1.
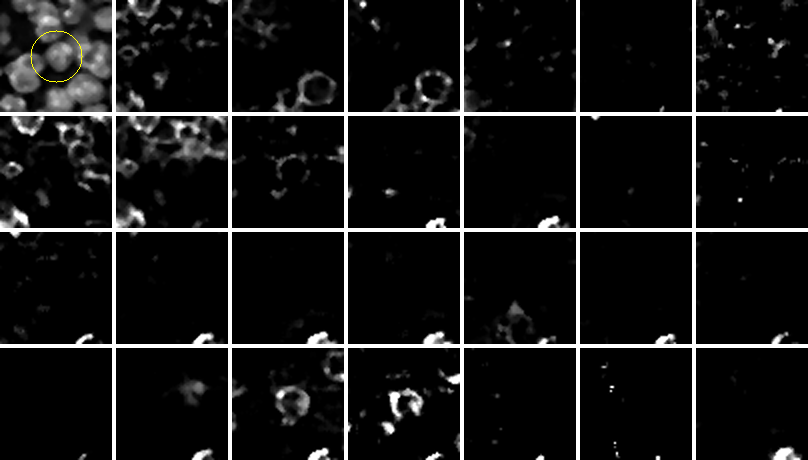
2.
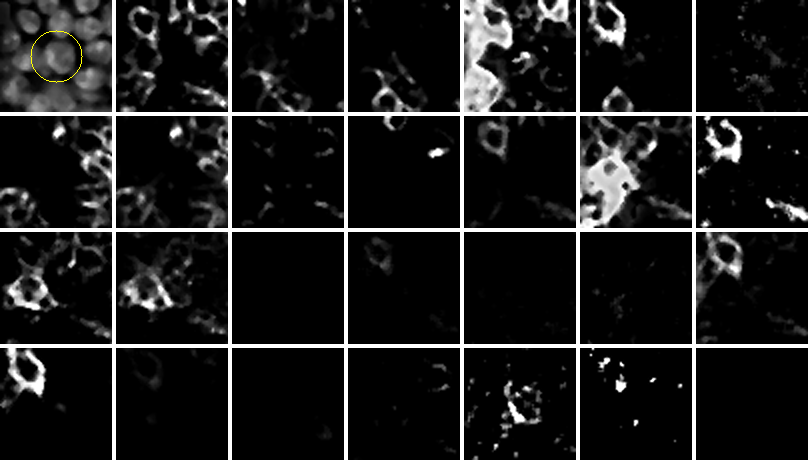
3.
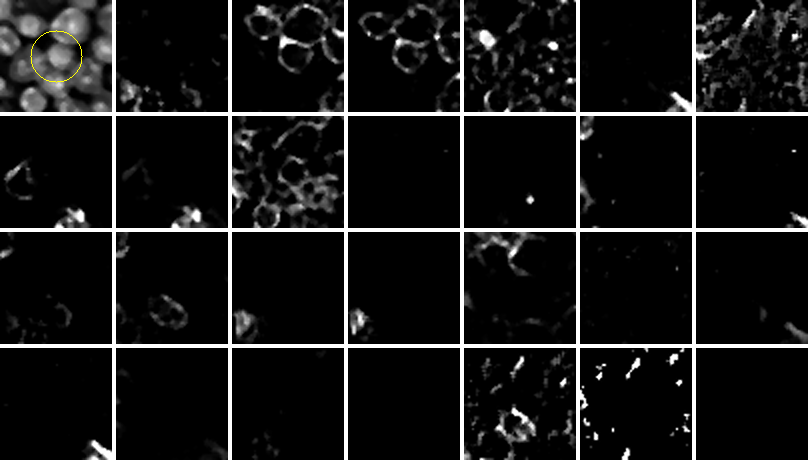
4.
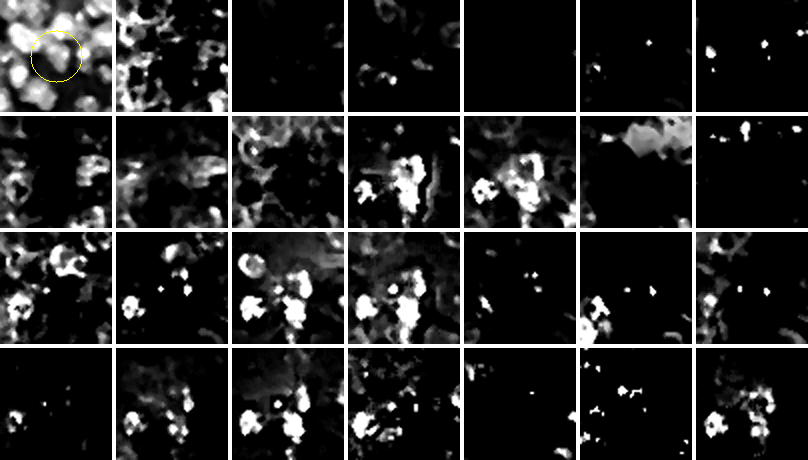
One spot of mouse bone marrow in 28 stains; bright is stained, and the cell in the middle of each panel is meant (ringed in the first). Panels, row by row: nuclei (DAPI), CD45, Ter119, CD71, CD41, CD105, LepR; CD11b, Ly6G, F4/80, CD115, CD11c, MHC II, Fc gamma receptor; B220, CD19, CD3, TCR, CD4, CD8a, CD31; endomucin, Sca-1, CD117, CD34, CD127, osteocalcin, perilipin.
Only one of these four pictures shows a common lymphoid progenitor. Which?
Picture 2.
